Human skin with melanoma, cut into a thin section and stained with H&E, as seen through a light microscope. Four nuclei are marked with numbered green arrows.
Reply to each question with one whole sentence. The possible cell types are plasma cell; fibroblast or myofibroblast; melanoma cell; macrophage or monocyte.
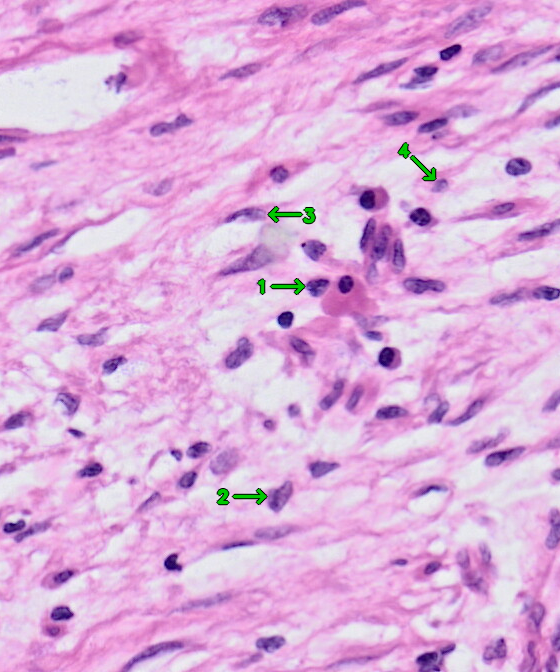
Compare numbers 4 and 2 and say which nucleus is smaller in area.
Number 4 is smaller, since number 2 takes up about 4 times as much area.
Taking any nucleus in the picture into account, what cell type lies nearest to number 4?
The nucleus nearest to number 4 is that of a plasma cell.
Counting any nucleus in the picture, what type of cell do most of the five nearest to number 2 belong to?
The majority of the five nuclei closest to number 2 belong to fibroblasts or myofibroblasts.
